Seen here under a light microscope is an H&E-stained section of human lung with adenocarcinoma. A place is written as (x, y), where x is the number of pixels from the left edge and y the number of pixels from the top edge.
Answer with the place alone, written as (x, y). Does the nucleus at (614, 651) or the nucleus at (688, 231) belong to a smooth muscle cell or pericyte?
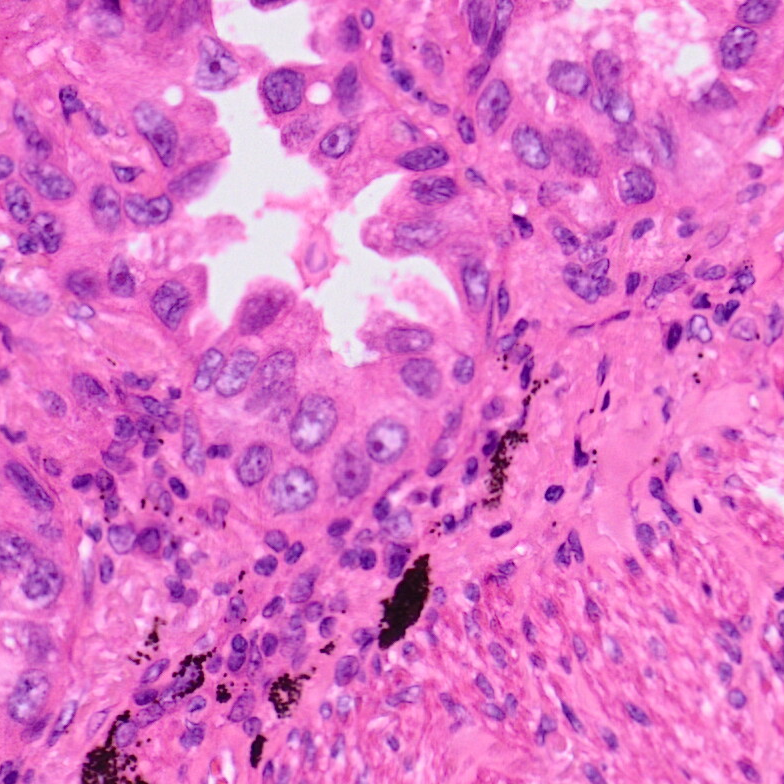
(614, 651)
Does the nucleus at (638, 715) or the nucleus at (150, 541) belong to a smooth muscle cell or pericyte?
(638, 715)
